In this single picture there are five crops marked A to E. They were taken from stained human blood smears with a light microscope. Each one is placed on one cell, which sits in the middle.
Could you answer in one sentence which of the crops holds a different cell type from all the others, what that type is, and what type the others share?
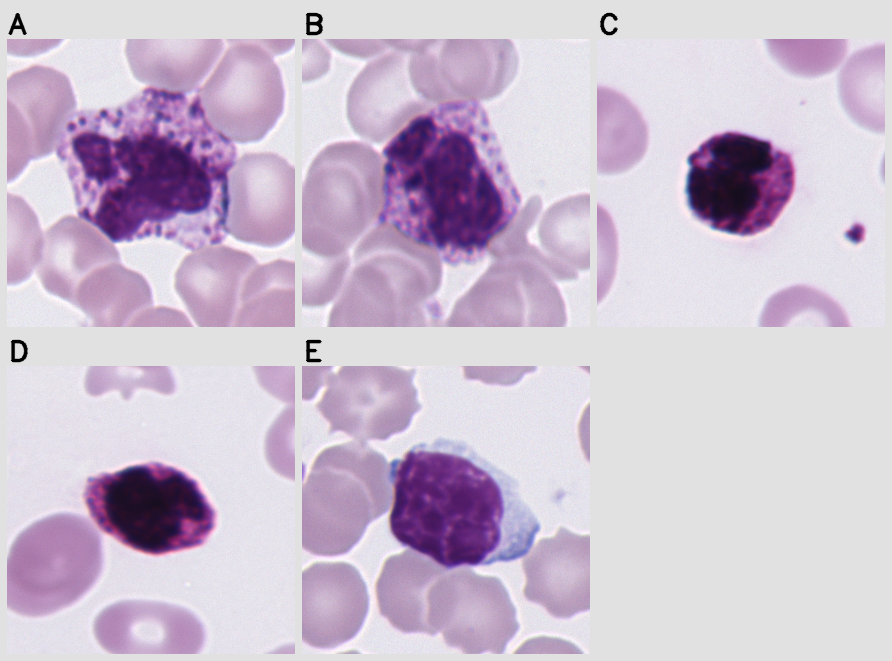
Crop E is the only crop with a lymphocyte, the others all showing basophils.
